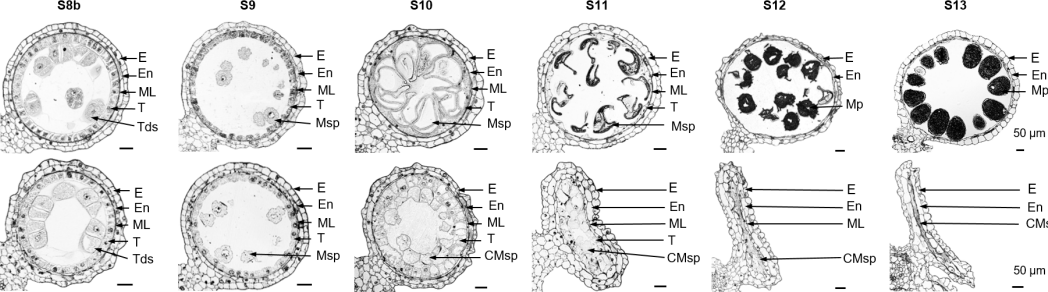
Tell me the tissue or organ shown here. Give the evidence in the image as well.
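Anthers. The locule contains free spores or grains that become dark, round and filled in later sections. The bottom row shows locules that shrink and flatten.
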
